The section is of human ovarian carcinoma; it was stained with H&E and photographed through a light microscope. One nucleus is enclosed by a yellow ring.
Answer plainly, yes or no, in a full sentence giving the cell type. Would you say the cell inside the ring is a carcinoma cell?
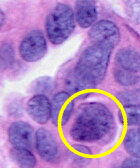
Yes, the cell inside the ring is accurately described as a carcinoma cell.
